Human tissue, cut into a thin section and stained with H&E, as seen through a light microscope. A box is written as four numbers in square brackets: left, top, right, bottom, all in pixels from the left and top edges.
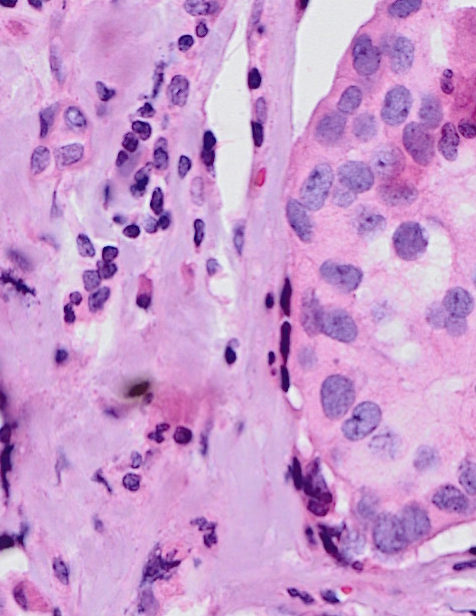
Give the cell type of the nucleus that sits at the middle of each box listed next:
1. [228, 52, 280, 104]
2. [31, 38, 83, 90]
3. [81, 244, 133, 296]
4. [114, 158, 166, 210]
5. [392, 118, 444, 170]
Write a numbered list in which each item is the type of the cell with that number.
1. lymphocyte
2. fibroblast
3. lymphocyte
4. lymphocyte
5. carcinoma cell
